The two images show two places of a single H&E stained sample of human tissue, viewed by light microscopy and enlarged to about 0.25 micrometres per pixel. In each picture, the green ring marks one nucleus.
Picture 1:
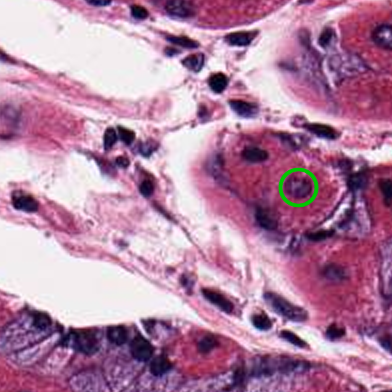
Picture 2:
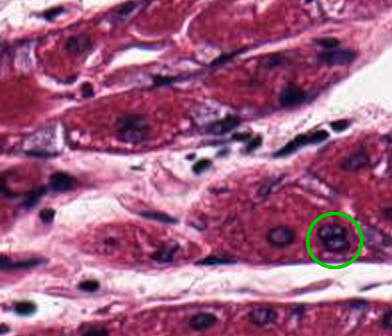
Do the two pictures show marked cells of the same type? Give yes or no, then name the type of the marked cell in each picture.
Yes, both are parietal cells.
